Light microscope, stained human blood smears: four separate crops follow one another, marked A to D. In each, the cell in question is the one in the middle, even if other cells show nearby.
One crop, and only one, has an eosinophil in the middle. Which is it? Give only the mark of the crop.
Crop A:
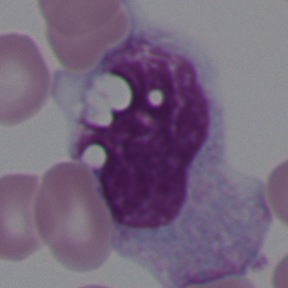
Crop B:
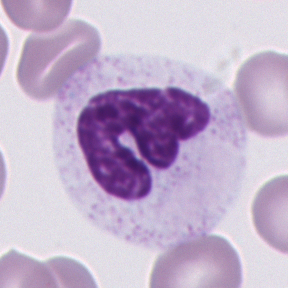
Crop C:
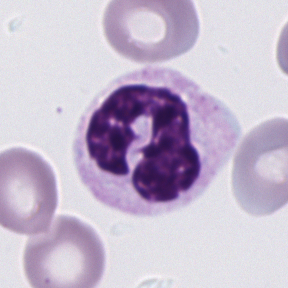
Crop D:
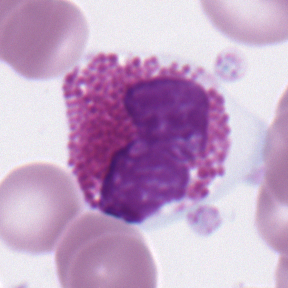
D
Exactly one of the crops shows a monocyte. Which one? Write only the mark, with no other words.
A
